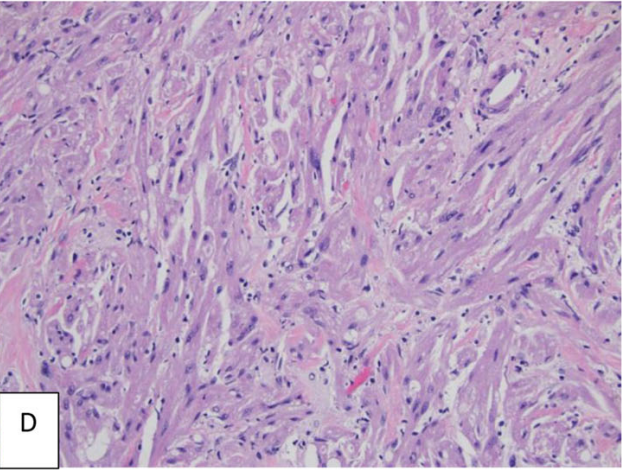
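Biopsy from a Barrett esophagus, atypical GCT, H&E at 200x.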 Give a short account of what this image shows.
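This is a tumor made of elongated spindle-shaped cells arranged in interlacing fascicles, with abundant pink, finely granular cytoplasm. The nuclei are dark and vary in size and shape, some enlarged, and scattered small vessels run between the bundles.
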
